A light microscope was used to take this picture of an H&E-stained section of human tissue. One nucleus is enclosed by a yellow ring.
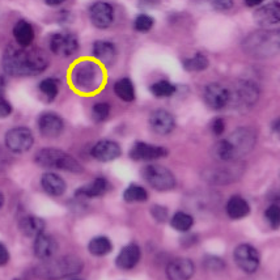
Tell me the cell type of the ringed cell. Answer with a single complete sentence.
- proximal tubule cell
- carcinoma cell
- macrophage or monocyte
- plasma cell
Histopathologically, the ringed cell is a plasma cell.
